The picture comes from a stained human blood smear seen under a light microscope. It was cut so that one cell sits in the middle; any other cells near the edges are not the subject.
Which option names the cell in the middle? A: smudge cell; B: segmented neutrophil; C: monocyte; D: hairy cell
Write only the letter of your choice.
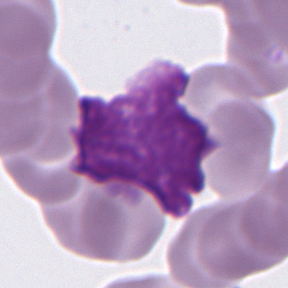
A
